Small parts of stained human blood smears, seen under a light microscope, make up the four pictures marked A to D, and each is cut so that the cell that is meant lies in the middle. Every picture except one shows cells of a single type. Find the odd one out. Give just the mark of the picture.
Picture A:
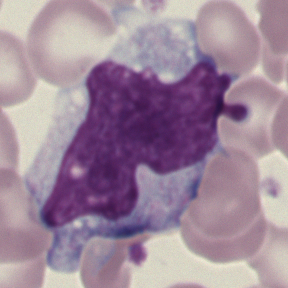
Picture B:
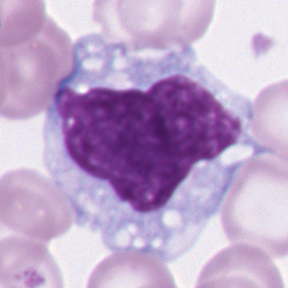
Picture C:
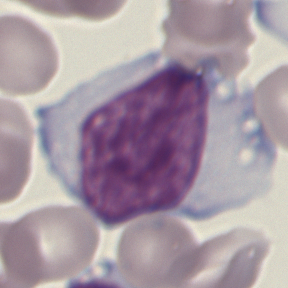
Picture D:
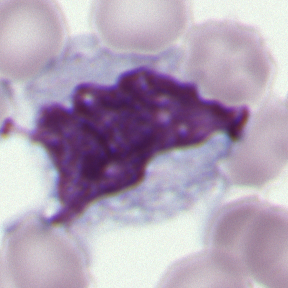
C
